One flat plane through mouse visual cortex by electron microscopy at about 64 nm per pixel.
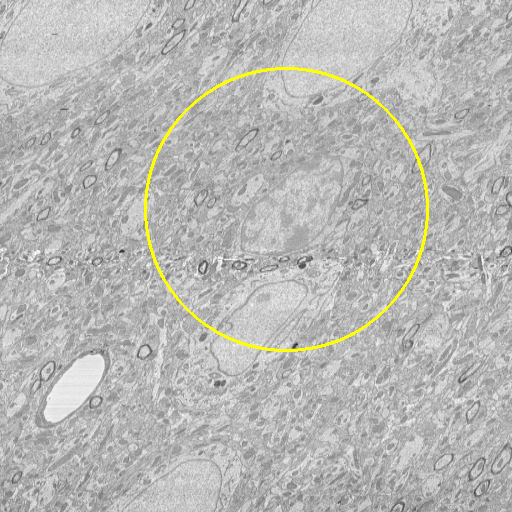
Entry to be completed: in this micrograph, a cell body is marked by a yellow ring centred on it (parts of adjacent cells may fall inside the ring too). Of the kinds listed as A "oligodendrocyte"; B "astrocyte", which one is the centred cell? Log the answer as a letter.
A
